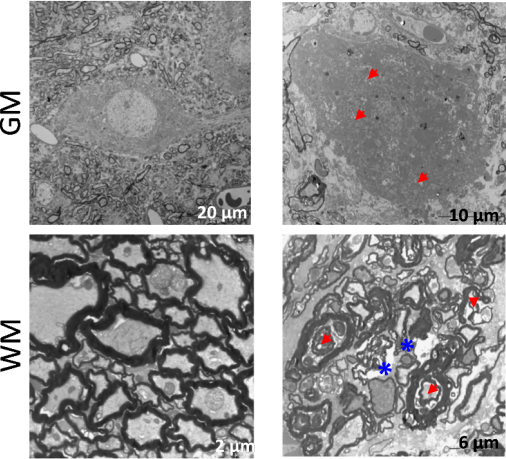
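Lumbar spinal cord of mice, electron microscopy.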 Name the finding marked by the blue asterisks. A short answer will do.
degenerated axons with disorganized myelin sheaths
